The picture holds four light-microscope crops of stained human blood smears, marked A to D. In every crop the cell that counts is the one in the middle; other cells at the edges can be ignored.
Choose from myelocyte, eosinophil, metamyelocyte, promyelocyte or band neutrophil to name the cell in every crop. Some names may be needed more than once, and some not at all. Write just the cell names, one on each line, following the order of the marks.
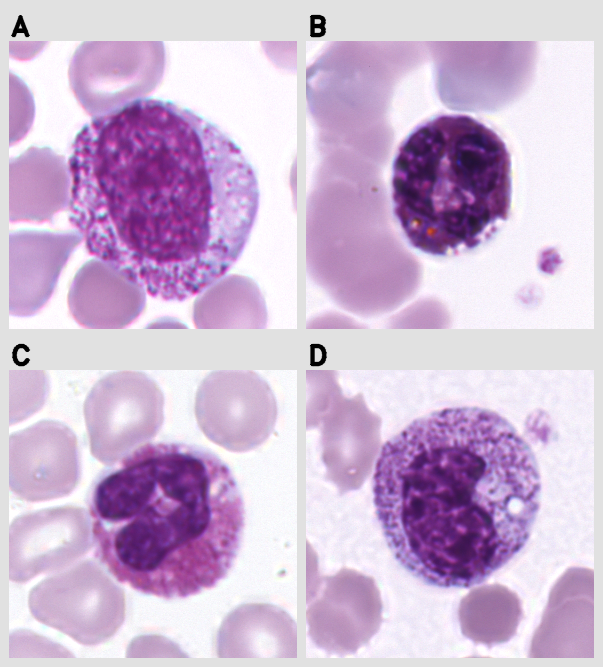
myelocyte
eosinophil
eosinophil
metamyelocyte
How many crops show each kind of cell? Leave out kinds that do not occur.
eosinophil: 2
myelocyte: 1
metamyelocyte: 1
